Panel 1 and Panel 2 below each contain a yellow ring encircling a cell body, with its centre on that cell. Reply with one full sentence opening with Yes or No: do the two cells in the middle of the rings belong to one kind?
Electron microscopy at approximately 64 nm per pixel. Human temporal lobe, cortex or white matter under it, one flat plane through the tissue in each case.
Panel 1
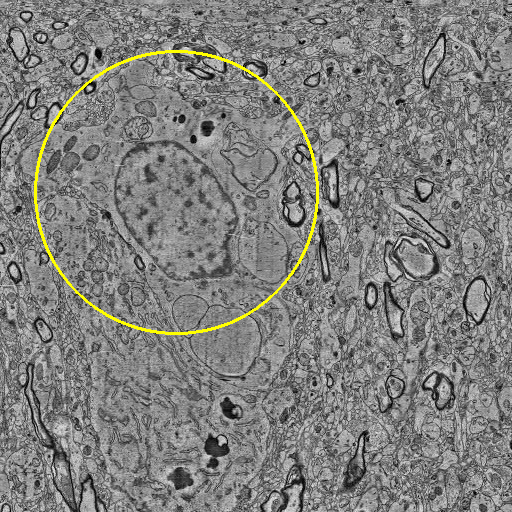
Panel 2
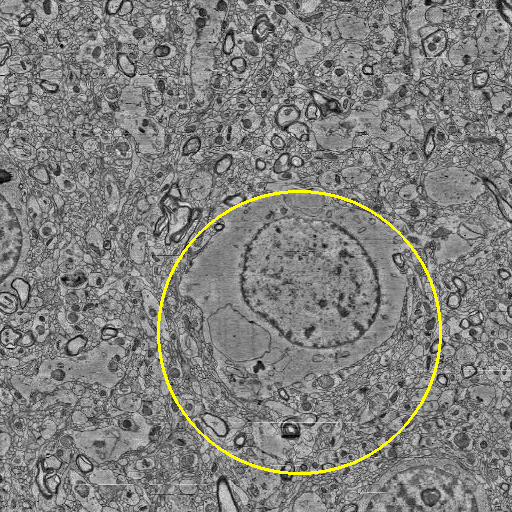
Yes, the cells at the middle of the Panel 1 ring and the Panel 2 ring are of one kind.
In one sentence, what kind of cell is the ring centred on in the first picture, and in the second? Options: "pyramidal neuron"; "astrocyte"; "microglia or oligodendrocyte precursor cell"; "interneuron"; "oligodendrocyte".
Each one of the two ringed cells is an astrocyte.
